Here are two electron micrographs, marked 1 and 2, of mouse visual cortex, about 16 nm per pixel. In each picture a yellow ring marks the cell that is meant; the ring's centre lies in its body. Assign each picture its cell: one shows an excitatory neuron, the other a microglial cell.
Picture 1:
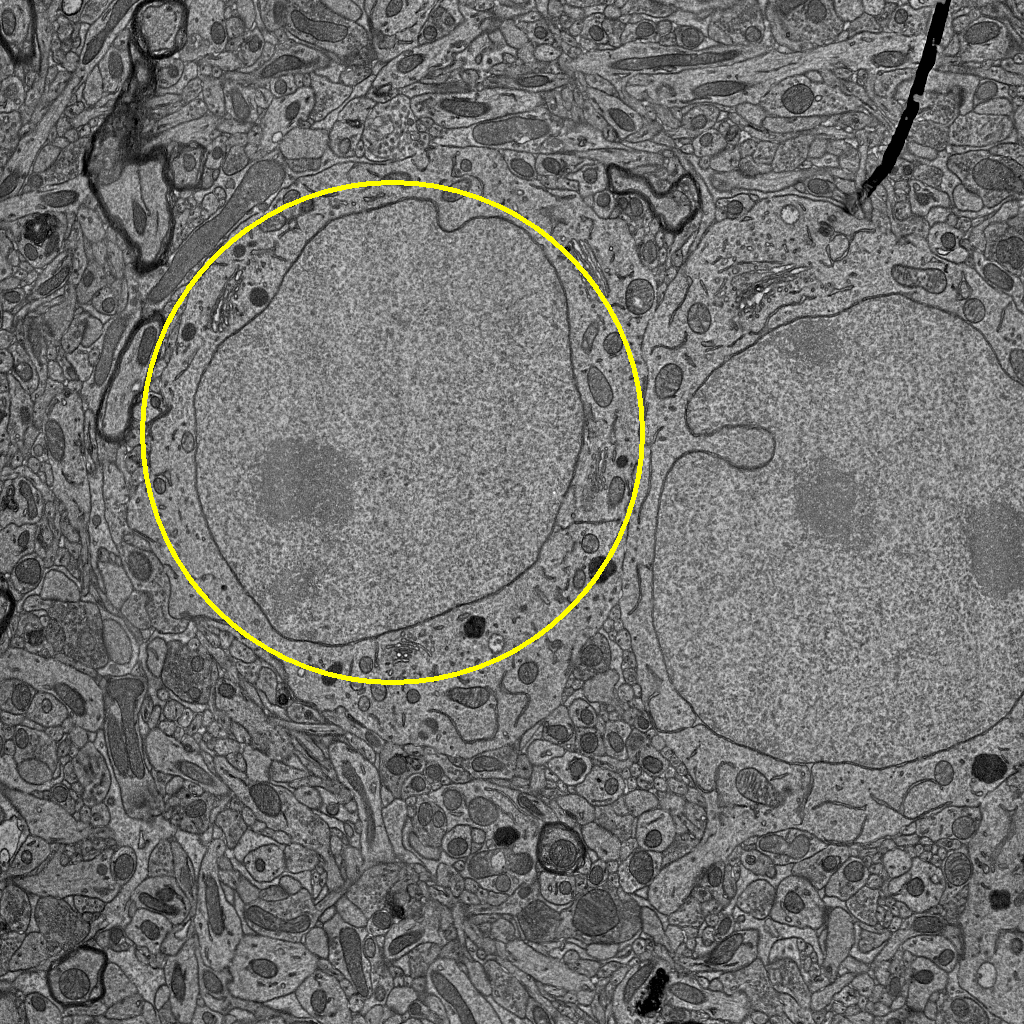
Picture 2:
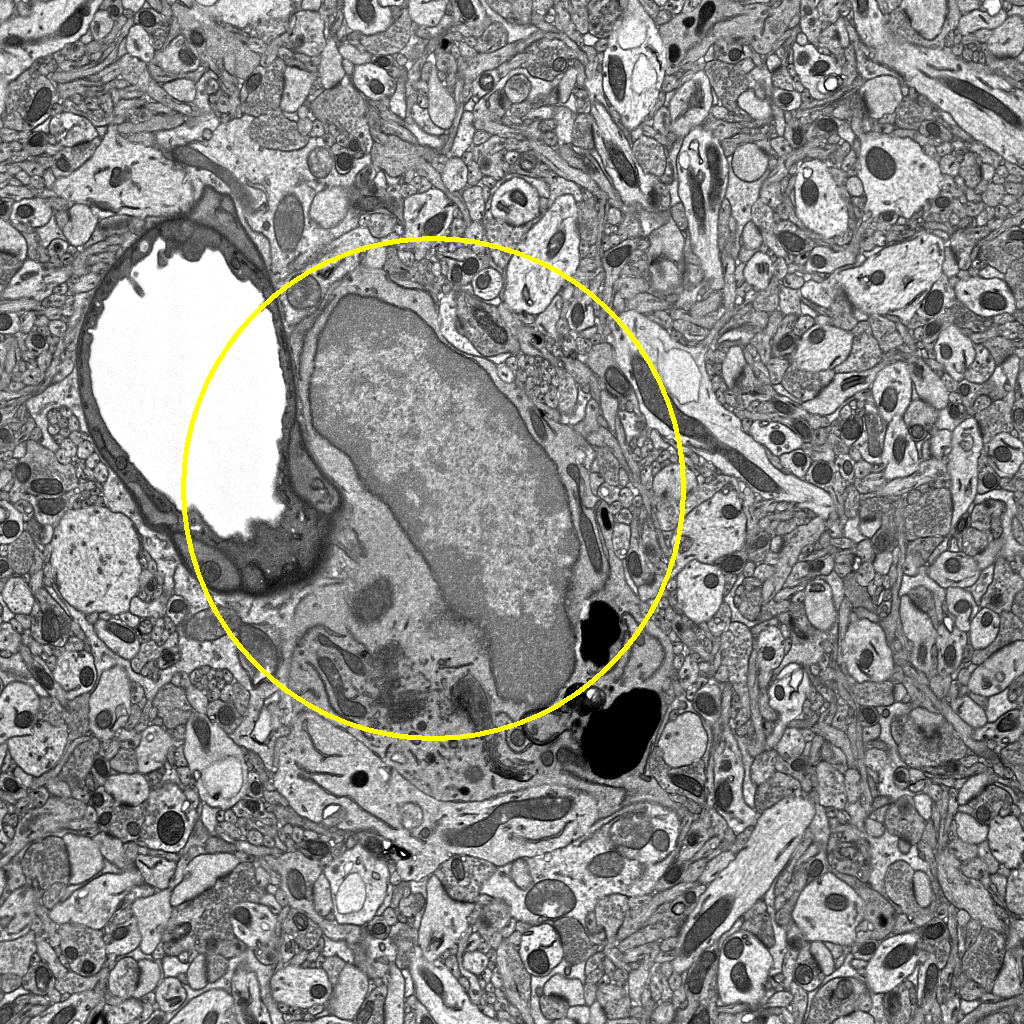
Picture 2 shows a microglial cell, while picture 1 shows an excitatory neuron.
